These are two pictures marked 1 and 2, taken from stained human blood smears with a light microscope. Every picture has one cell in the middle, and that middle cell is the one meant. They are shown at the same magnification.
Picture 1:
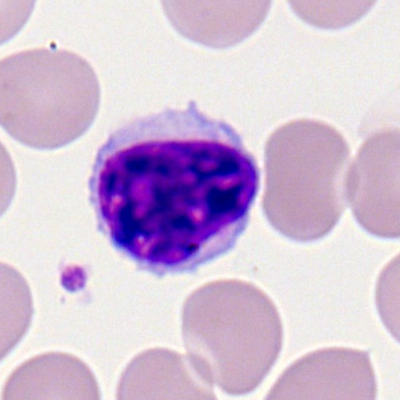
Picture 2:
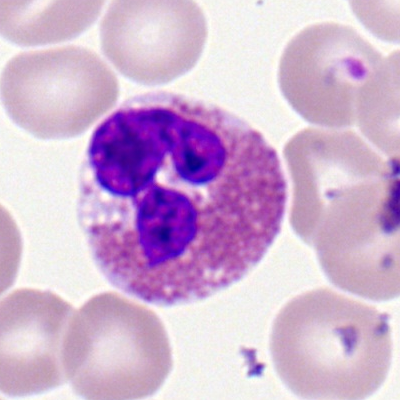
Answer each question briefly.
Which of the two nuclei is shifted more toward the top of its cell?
2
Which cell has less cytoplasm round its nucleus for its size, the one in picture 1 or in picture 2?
1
